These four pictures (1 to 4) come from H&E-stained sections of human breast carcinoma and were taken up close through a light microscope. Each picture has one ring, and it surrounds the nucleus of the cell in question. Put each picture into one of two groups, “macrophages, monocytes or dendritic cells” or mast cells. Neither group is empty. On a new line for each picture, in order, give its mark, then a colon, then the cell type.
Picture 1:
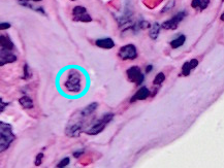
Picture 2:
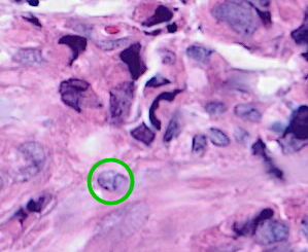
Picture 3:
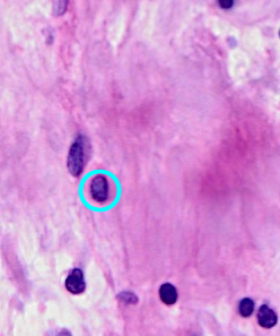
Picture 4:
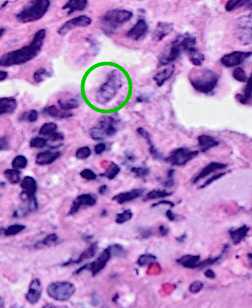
1: mast cell
2: macrophage, monocyte or dendritic cell
3: mast cell
4: macrophage, monocyte or dendritic cell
